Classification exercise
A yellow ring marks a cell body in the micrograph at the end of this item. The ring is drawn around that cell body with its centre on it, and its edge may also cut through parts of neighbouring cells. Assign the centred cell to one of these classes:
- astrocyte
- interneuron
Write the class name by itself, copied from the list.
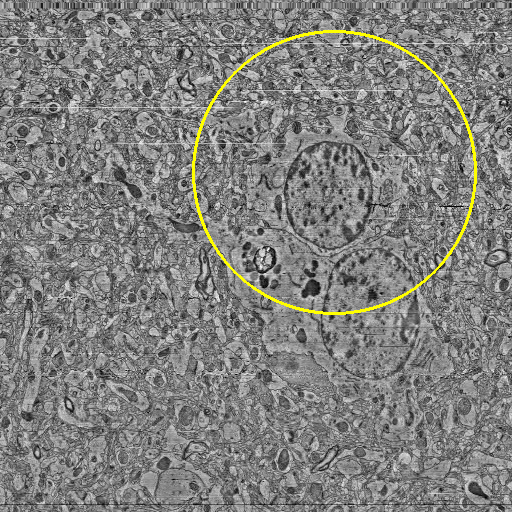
astrocyte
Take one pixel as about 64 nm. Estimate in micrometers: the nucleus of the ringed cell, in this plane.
In this plane the nucleus measures roughly 7 by 6 micrometers.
